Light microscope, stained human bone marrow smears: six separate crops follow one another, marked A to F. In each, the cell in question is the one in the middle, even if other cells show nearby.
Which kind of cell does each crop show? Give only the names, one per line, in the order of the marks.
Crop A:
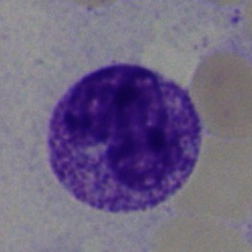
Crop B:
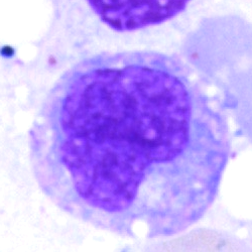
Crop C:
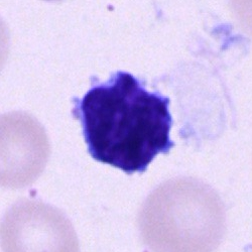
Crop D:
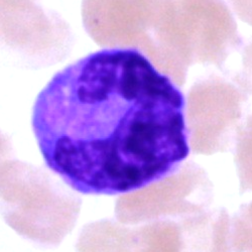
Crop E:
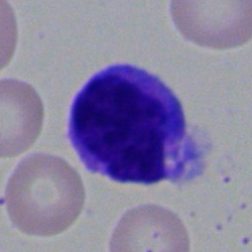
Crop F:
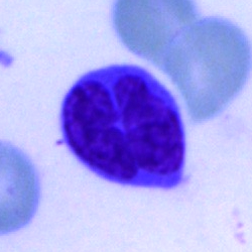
metamyelocyte
monocyte
lymphocyte
monocyte
monocyte
lymphocyte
